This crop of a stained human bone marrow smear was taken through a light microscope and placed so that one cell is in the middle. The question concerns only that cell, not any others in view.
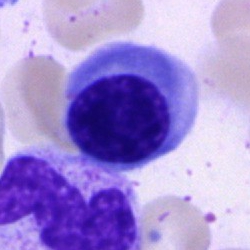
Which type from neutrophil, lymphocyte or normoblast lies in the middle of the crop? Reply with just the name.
normoblast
